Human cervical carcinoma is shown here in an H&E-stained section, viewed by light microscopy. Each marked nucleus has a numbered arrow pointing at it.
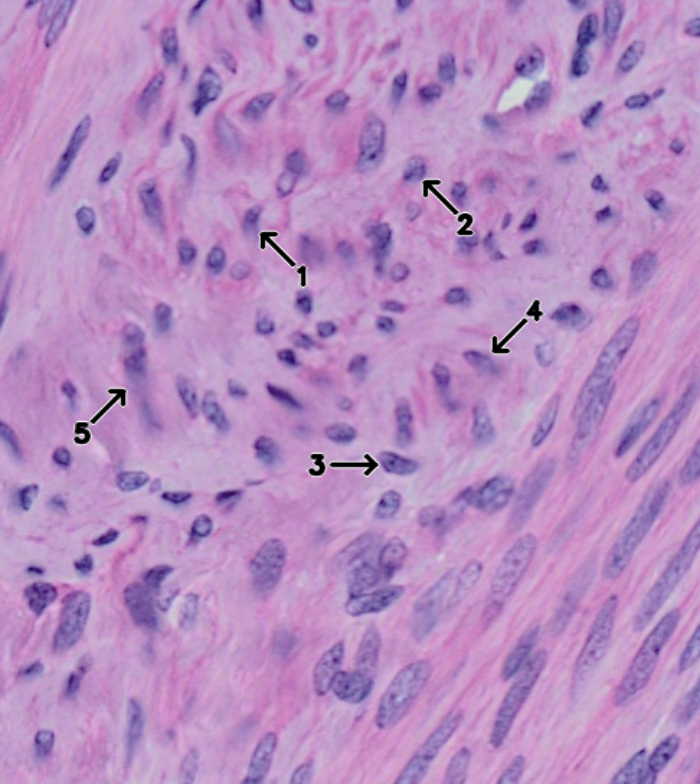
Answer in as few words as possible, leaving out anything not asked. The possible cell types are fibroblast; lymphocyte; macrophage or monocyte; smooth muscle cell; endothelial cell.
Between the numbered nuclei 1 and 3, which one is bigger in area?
3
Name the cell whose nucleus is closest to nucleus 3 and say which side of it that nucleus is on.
a smooth muscle cell above nucleus 3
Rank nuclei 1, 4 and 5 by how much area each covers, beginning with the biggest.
5, 4, 1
